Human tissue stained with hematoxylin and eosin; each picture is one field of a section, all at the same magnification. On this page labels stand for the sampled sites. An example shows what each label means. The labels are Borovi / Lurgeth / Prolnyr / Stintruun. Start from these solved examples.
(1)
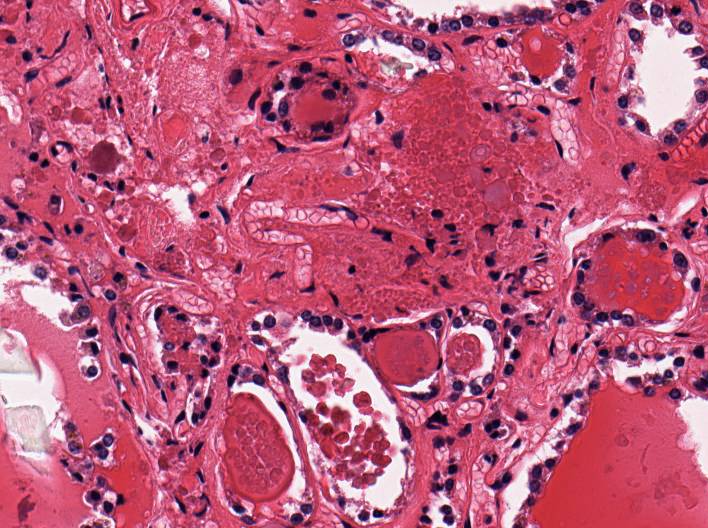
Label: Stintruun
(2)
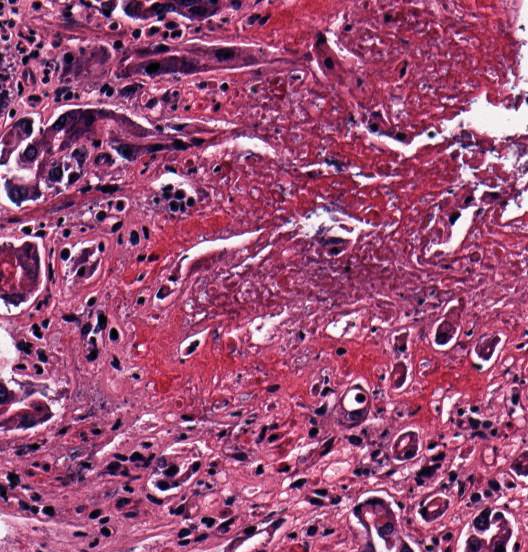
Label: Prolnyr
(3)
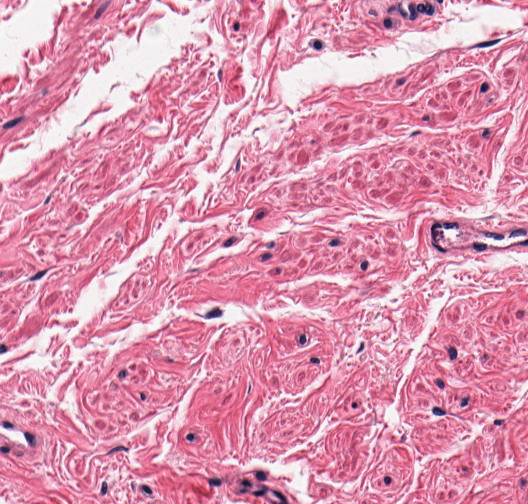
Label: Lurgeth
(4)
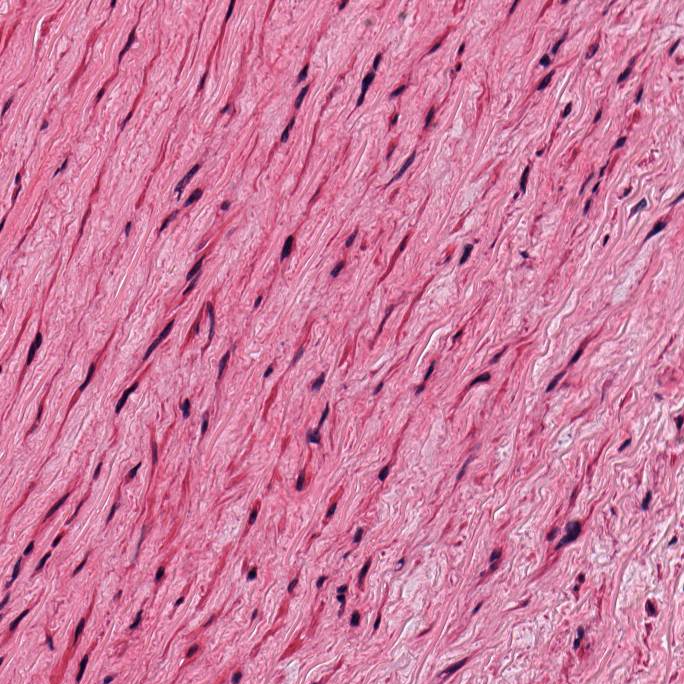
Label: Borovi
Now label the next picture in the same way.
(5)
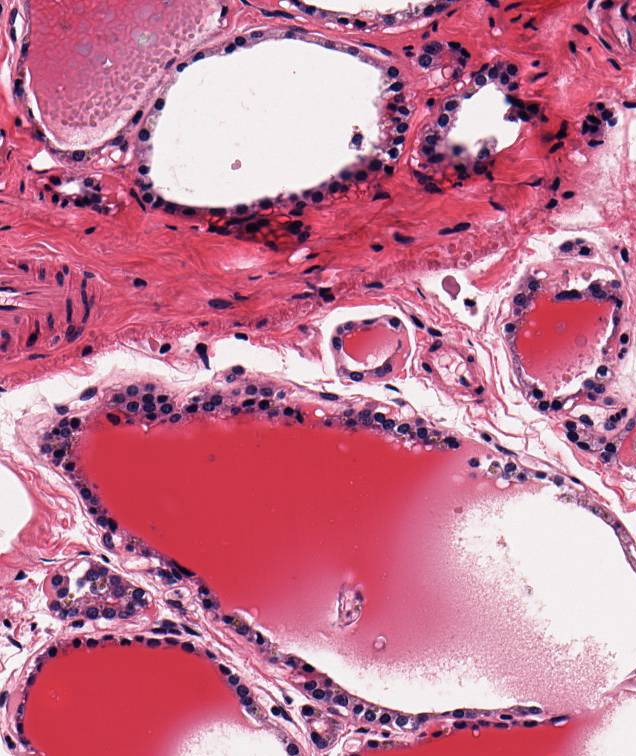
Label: Stintruun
